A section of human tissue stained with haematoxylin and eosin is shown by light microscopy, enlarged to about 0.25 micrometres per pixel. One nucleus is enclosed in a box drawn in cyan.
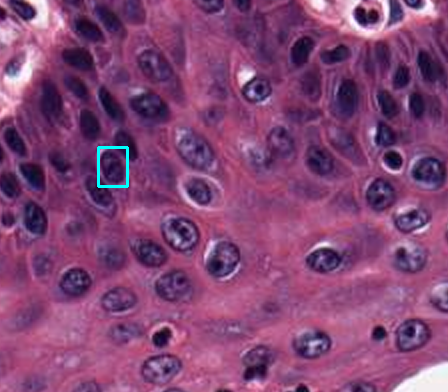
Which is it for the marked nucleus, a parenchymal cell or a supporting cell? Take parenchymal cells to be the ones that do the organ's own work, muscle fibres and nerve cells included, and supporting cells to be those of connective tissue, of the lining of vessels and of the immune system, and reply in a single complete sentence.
The marked nucleus belongs to a parenchymal cell, and this cell is a squamous epithelial cell.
